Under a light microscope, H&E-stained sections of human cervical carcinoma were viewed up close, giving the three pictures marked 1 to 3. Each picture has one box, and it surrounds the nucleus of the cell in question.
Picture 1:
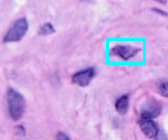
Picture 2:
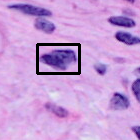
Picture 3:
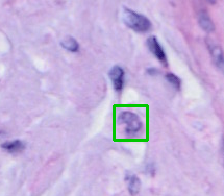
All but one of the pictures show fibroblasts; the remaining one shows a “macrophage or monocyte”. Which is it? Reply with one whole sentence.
The “macrophage or monocyte” is the one in picture 3.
